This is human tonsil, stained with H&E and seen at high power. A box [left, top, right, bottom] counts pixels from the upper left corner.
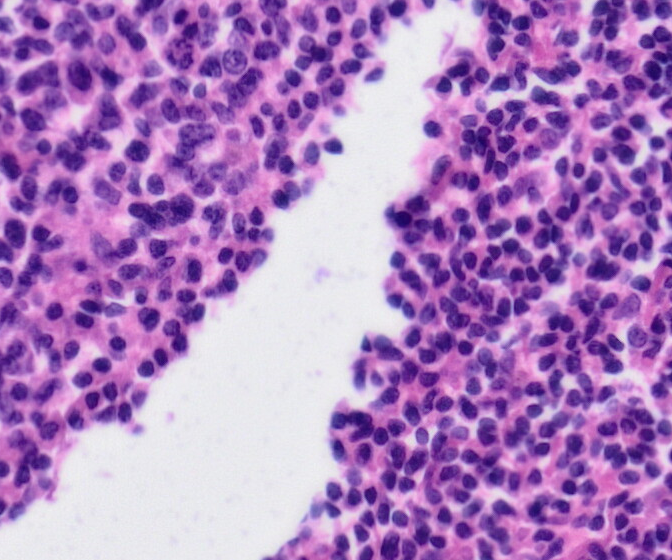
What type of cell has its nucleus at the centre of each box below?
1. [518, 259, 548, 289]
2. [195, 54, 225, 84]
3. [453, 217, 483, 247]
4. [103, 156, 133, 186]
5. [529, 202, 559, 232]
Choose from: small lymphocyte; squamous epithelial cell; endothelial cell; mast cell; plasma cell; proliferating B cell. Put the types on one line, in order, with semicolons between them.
small lymphocyte; proliferating B cell; small lymphocyte; proliferating B cell; small lymphocyte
